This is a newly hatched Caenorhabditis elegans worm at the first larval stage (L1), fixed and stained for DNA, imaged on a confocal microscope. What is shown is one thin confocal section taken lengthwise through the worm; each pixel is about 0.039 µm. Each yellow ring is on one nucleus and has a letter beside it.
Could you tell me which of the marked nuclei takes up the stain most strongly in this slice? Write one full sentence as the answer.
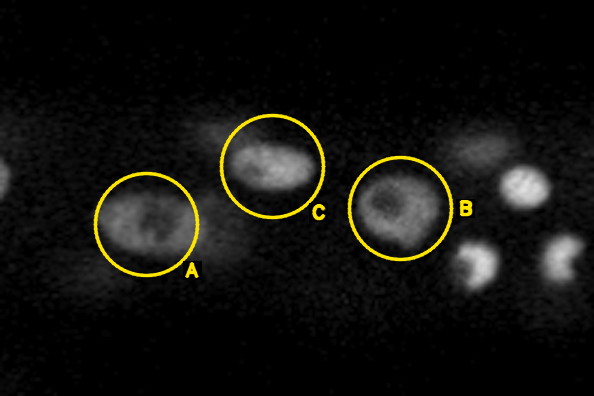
C is stained most strongly in this section.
